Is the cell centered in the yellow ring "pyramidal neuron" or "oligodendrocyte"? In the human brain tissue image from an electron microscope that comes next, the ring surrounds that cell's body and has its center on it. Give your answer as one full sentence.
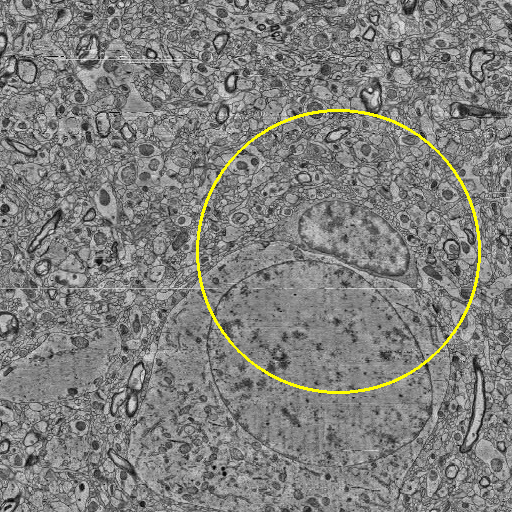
The cell at the center of the yellow ring is an oligodendrocyte in the micrograph.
